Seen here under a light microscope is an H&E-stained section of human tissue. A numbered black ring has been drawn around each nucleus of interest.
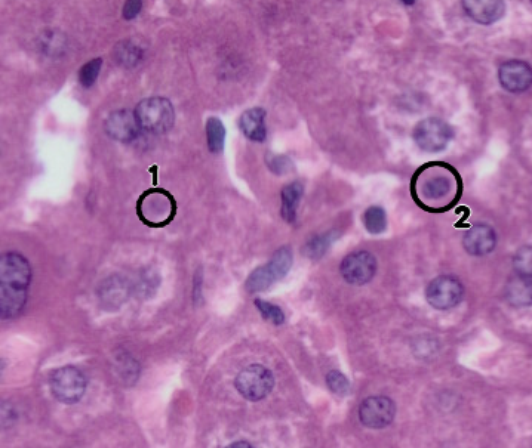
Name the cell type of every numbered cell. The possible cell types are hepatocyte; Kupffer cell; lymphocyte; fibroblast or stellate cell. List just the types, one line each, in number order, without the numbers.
hepatocyte
lymphocyte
